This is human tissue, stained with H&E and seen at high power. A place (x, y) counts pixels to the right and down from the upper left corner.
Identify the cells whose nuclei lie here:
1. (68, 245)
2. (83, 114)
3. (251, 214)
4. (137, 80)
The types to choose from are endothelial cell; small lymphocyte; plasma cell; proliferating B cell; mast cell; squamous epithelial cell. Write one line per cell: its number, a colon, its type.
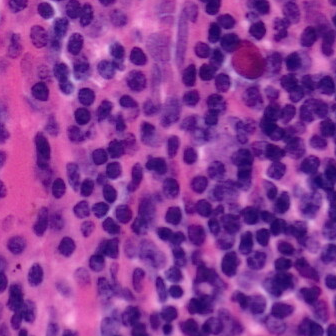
1: plasma cell
2: plasma cell
3: small lymphocyte
4: plasma cell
